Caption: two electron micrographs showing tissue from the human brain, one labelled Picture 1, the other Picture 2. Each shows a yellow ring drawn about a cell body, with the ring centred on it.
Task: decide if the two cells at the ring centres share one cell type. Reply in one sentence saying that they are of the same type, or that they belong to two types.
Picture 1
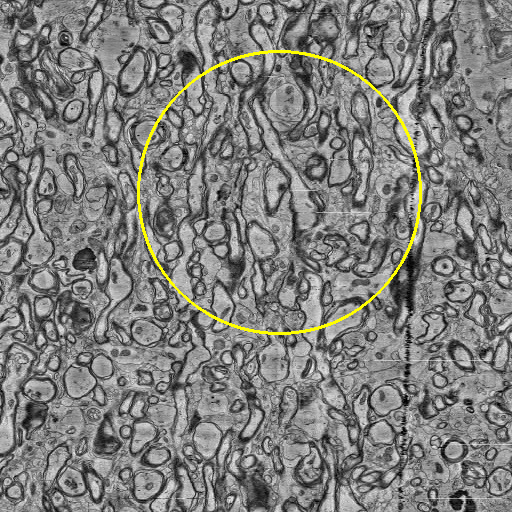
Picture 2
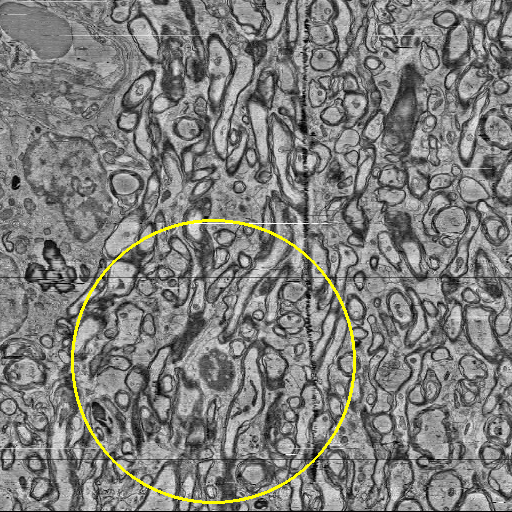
The cells at the ring centres in Picture 1 and Picture 2 are of the same type.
